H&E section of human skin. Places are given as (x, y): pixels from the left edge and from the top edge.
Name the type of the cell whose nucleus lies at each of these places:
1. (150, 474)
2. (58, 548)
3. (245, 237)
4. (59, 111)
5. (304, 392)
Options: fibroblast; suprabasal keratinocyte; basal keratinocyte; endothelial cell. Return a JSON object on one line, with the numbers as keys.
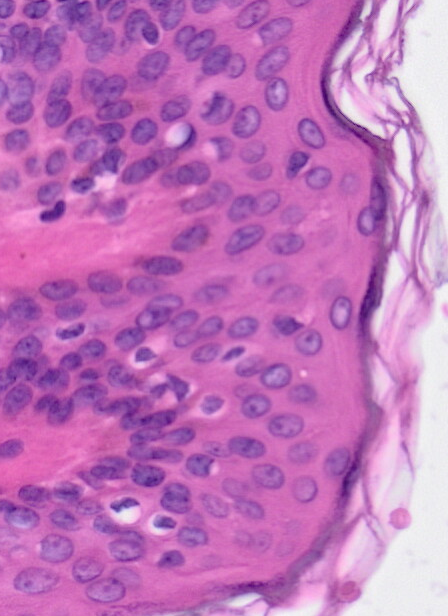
{"1": "basal keratinocyte", "2": "suprabasal keratinocyte", "3": "suprabasal keratinocyte", "4": "basal keratinocyte", "5": "suprabasal keratinocyte"}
